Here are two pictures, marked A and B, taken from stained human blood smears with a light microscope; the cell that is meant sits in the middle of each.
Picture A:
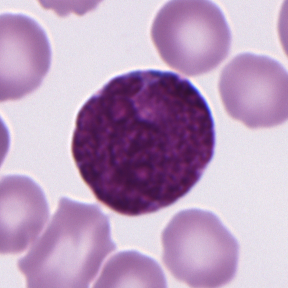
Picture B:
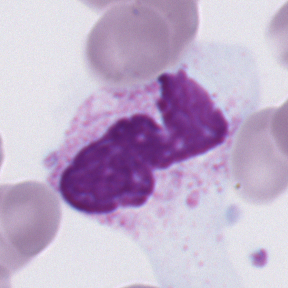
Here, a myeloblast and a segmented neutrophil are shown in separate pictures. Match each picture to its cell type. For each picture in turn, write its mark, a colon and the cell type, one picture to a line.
A: myeloblast
B: segmented neutrophil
